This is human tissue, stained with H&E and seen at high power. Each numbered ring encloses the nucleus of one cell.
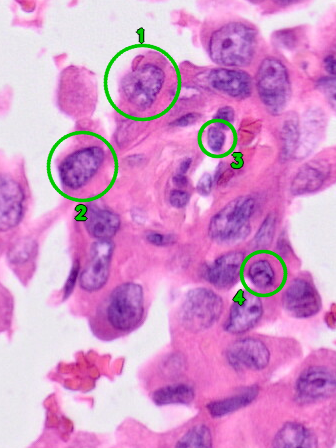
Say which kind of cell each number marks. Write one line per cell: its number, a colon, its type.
1: carcinoma cell
2: carcinoma cell
3: lymphocyte
4: carcinoma cell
